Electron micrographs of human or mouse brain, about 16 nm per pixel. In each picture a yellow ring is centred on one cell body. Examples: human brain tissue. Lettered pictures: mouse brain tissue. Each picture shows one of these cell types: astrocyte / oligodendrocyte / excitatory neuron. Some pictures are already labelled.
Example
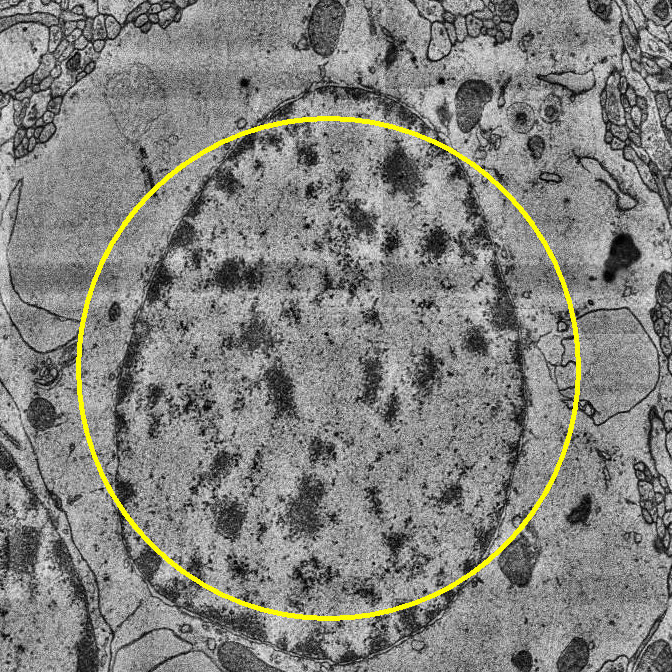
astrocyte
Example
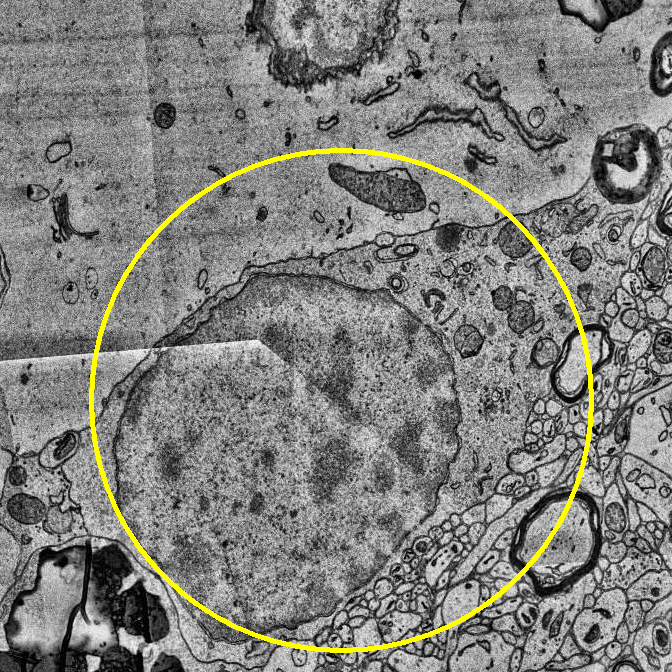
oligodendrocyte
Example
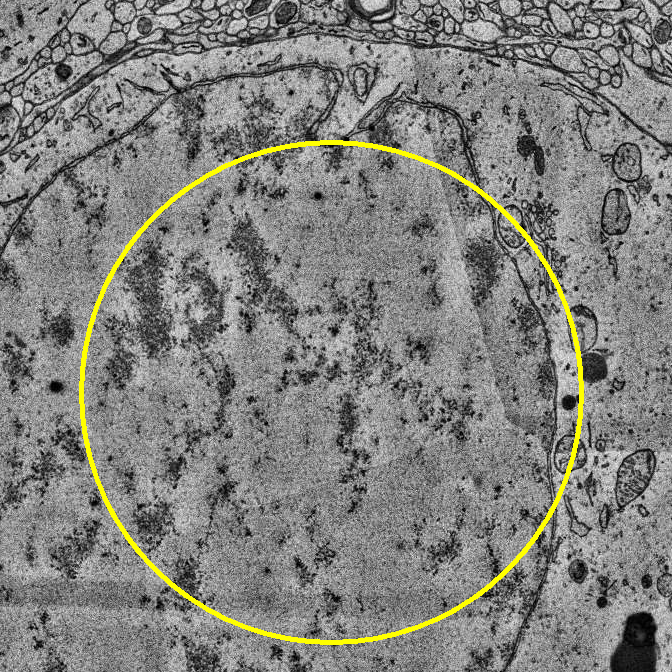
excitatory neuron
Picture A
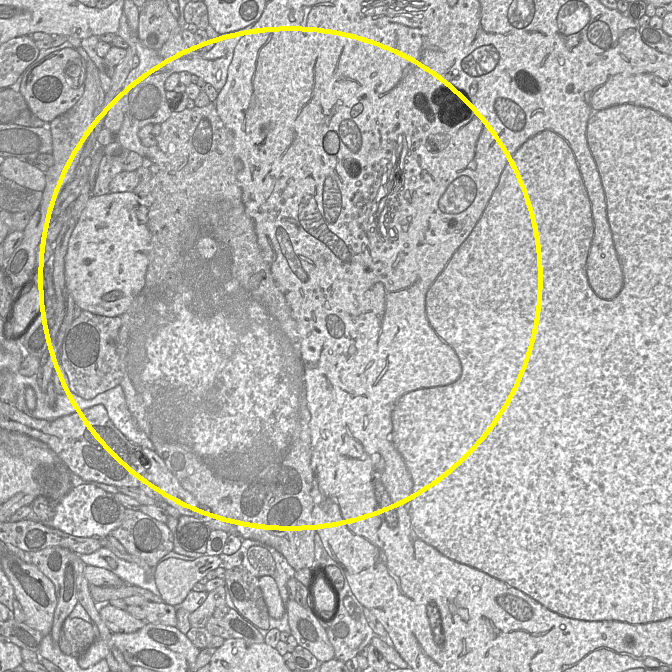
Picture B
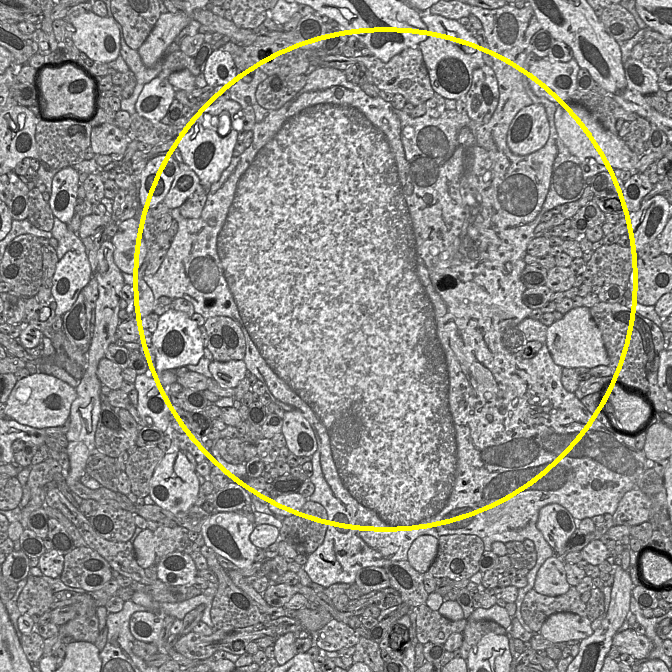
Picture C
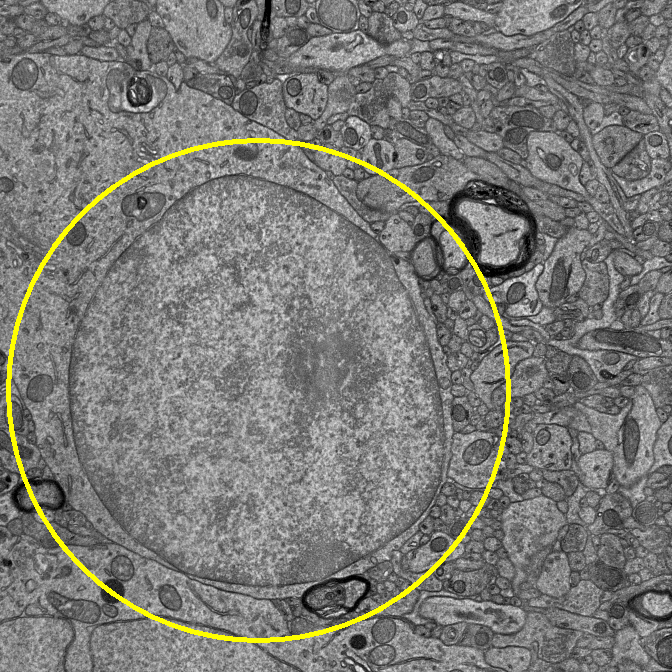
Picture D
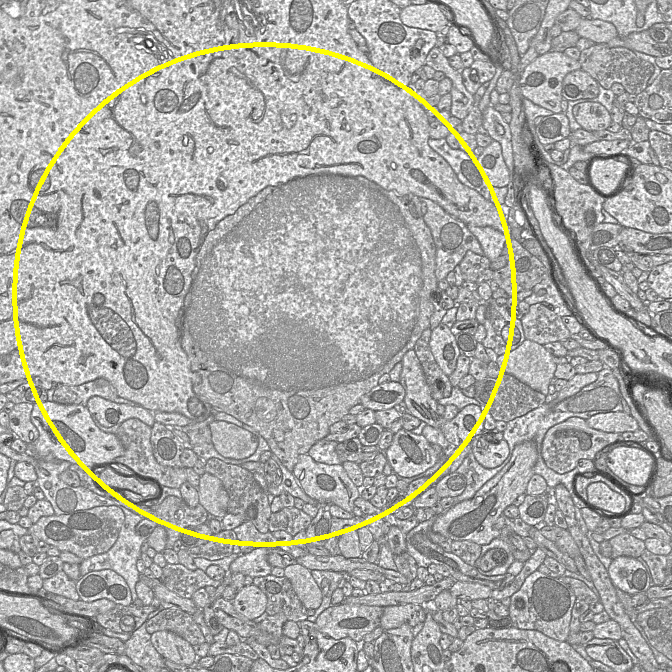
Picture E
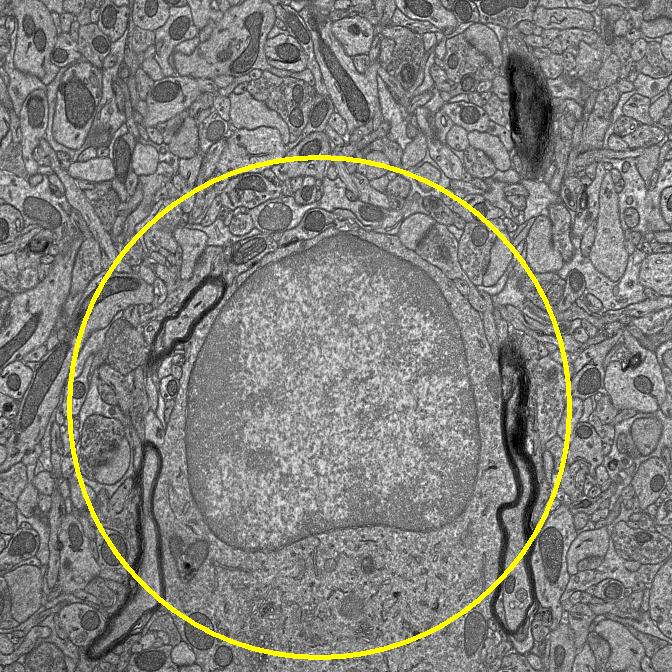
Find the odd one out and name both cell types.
B differs and shows astrocyte; the others show oligodendrocyte.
